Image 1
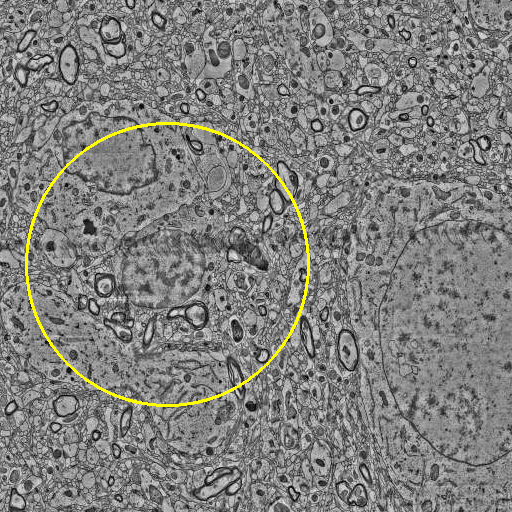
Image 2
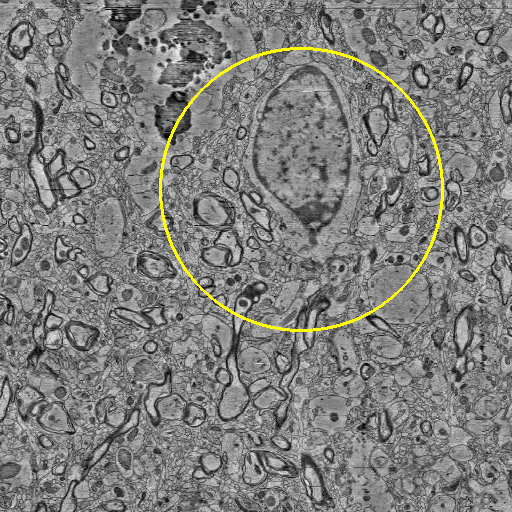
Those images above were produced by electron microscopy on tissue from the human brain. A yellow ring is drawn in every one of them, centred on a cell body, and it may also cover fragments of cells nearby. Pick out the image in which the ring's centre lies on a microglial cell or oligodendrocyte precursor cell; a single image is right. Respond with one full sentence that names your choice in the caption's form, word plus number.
Image 2 is my choice: its ring is centred on the requested cell.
